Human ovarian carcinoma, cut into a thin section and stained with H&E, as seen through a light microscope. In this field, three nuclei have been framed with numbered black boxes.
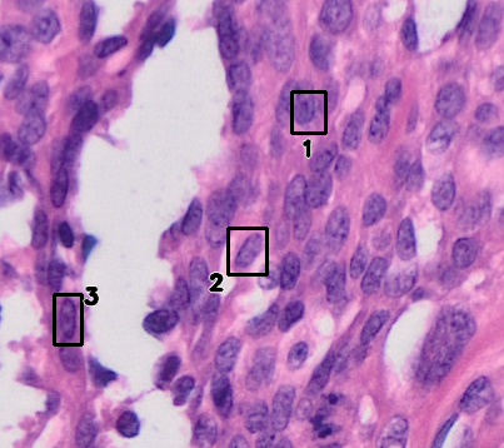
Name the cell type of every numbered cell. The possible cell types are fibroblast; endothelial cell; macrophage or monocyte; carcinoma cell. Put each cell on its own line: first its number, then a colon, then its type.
1: carcinoma cell
2: macrophage or monocyte
3: carcinoma cell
